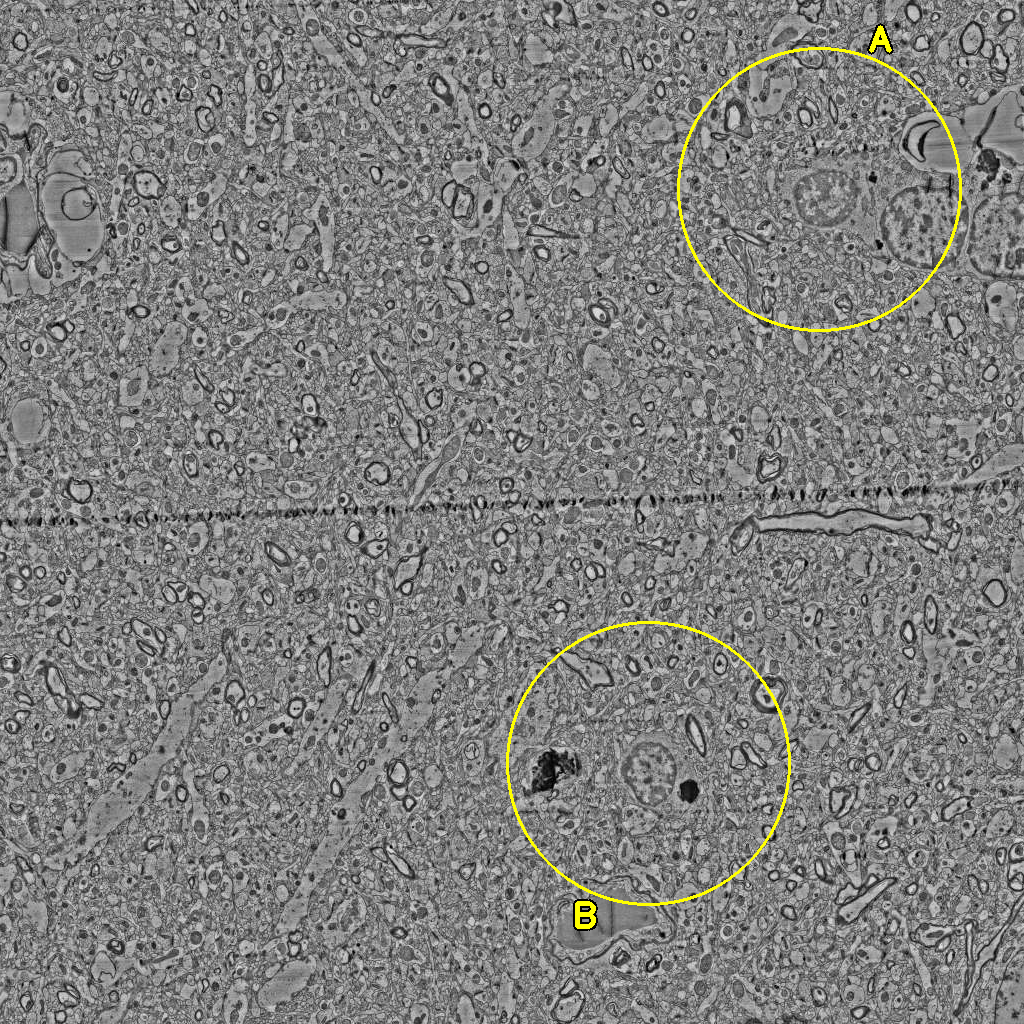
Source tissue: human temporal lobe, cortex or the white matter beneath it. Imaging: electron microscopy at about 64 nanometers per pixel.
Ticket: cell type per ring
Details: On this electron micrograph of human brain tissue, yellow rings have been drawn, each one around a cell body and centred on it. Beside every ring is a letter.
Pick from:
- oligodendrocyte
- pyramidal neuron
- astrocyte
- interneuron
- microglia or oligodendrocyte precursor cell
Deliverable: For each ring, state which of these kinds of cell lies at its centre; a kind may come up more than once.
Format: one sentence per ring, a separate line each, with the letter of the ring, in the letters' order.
The cell body ringed as A belongs to an oligodendrocyte.
The cell body ringed as B belongs to an oligodendrocyte.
